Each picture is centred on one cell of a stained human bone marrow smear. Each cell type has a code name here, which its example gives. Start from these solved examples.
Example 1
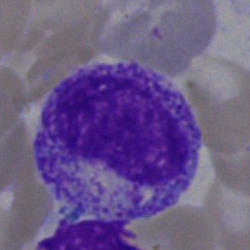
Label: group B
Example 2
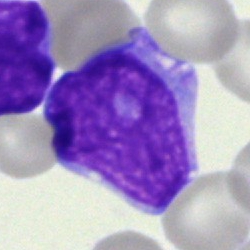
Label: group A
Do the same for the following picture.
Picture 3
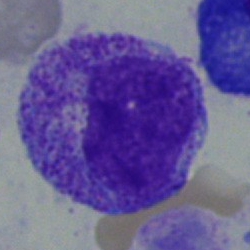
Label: group B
